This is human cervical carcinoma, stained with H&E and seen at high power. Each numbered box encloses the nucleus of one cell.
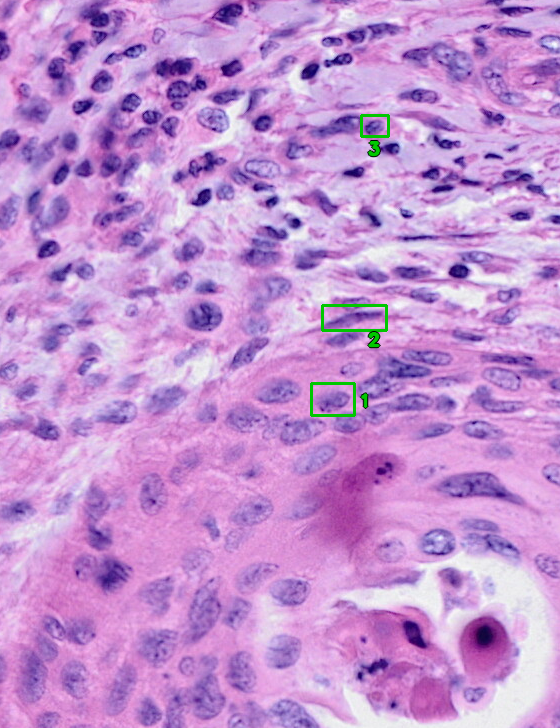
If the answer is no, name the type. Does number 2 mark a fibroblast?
Yes.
